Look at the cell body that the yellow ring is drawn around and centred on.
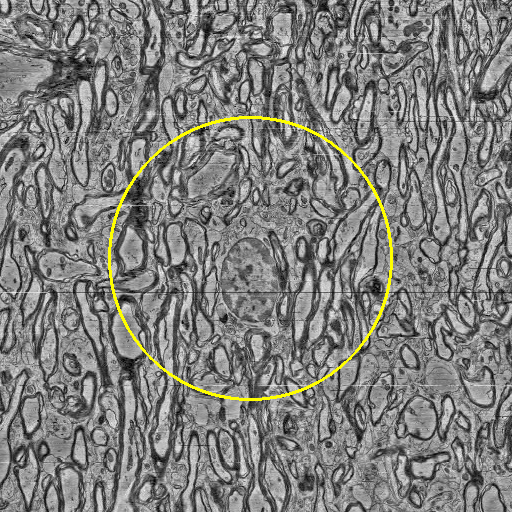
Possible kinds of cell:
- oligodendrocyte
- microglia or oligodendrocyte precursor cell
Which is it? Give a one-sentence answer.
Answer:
The centred cell body is that of a microglial cell or oligodendrocyte precursor cell.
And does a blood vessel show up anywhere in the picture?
No, no blood vessel can be seen.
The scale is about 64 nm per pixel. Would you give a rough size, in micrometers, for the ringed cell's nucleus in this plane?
The nucleus works out at approximately 5 by 4 micrometres in this plane.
